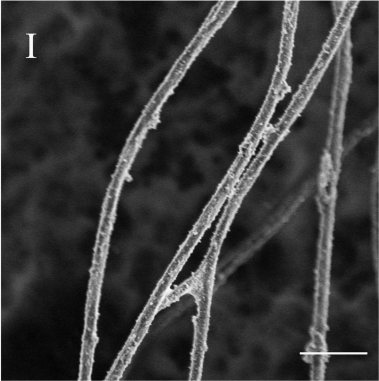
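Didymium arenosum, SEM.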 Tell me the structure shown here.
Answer: Capillitium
